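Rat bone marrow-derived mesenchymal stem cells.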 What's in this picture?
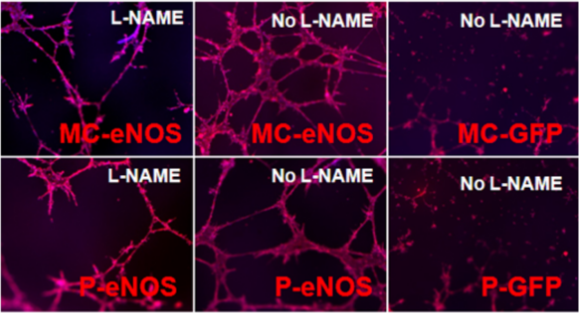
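In the two middle images, thick elongated cords of aligned cells branch and join into a continuous network enclosing open polygonal spaces. In the two left images, cords are thinner and fewer, with branches that end freely and an incomplete network. The two right images show no cords, only small scattered rounded or spindle-shaped cells and fine debris on the dark field.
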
